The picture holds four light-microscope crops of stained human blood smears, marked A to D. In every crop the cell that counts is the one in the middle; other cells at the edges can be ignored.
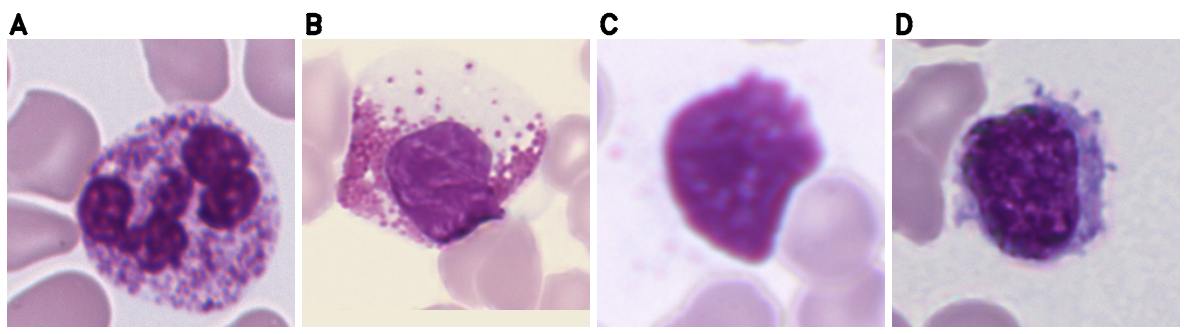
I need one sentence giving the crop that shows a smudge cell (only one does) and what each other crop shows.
Crop C shows a smudge cell, while in contrast crop A is a segmented neutrophil, crop B is an eosinophil and crop D is a plasma cell.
